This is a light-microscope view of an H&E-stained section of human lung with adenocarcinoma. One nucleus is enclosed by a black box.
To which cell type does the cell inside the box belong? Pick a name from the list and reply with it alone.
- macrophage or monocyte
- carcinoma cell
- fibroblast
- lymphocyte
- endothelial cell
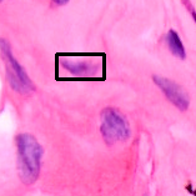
fibroblast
